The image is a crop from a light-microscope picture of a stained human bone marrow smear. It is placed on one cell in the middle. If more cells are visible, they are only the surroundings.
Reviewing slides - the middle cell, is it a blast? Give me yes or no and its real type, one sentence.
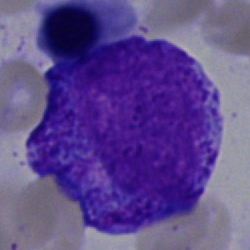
No, the centre cell is not a blast but a promyelocyte.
